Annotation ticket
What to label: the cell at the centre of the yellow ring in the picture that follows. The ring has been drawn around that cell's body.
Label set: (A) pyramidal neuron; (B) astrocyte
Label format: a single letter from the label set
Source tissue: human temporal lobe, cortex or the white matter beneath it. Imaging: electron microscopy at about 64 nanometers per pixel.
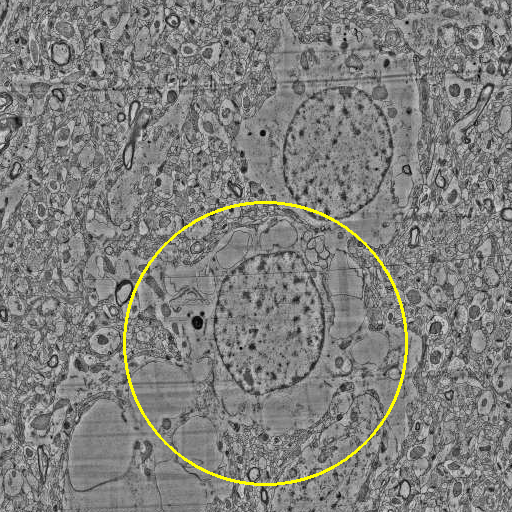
B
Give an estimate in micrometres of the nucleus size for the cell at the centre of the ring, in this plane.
In this plane the nucleus measures roughly 9 by 7 micrometers.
